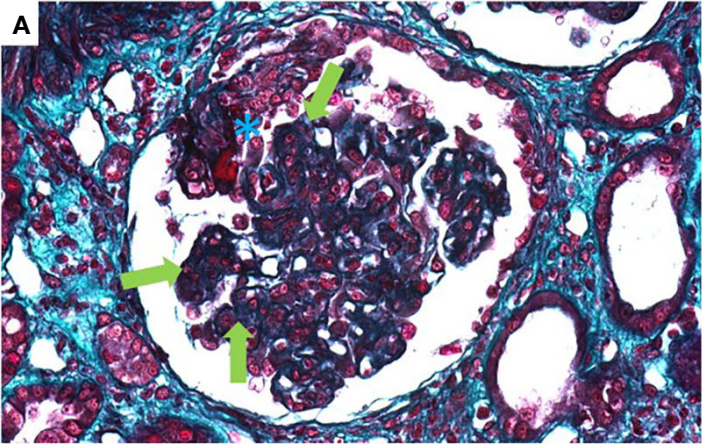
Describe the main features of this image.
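Glomerulus in kidney cortex with a tuft crowded with nuclei, its capillary loops filled with cells so that few lumens stay open. At one edge of the tuft lies a bright red, glassy, acellular deposit. Around the glomerulus, tubules sit in blue-green stained interstitium.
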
